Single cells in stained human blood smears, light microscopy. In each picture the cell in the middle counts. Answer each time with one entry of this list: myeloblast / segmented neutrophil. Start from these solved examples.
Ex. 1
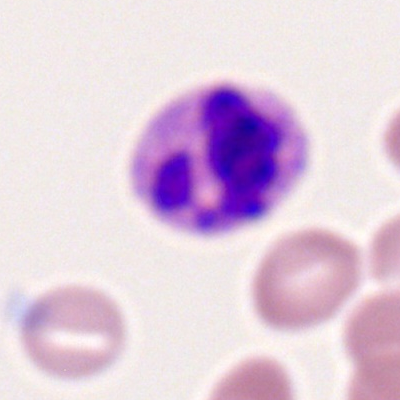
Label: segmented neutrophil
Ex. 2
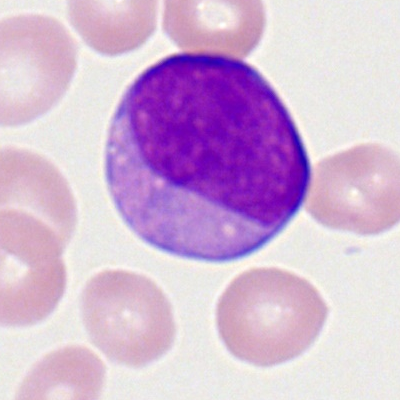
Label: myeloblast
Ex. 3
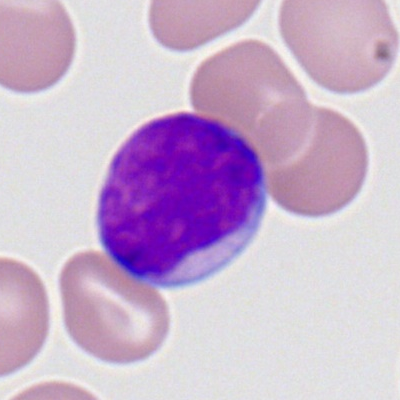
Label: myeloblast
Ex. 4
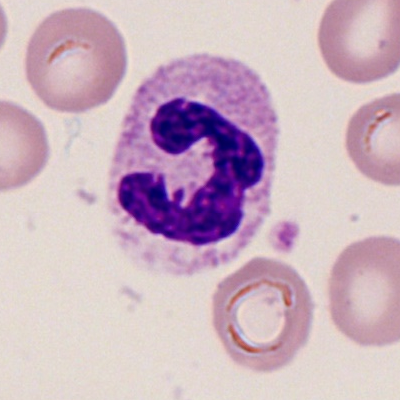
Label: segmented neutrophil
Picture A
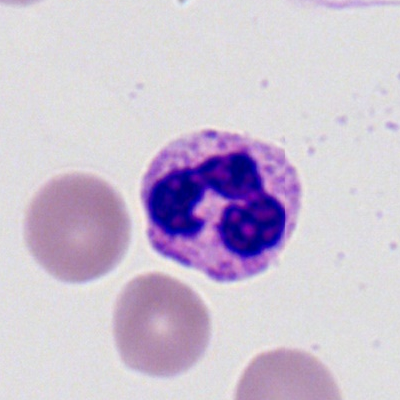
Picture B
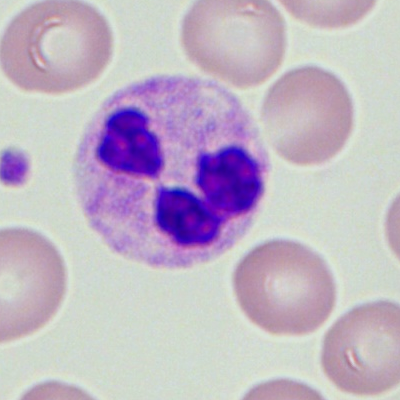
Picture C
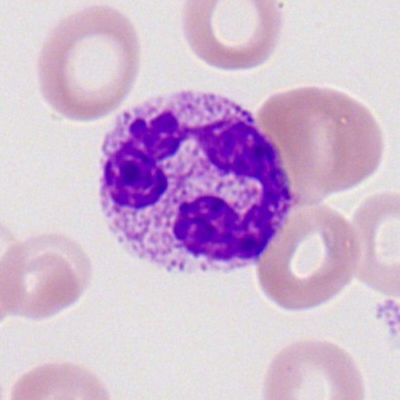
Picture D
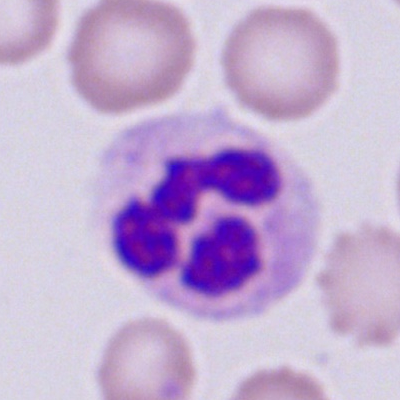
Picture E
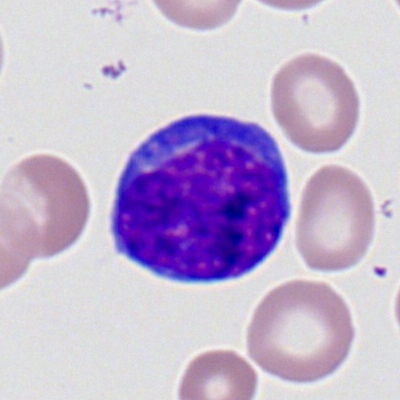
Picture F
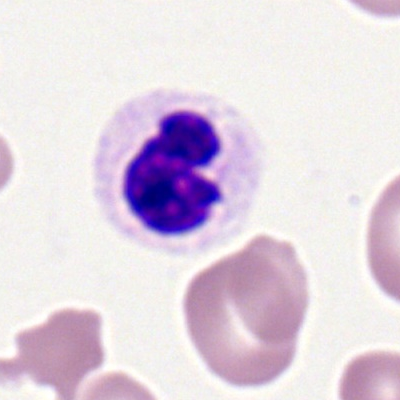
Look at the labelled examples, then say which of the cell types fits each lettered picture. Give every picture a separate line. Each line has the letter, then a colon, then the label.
A: segmented neutrophil
B: segmented neutrophil
C: segmented neutrophil
D: segmented neutrophil
E: myeloblast
F: segmented neutrophil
